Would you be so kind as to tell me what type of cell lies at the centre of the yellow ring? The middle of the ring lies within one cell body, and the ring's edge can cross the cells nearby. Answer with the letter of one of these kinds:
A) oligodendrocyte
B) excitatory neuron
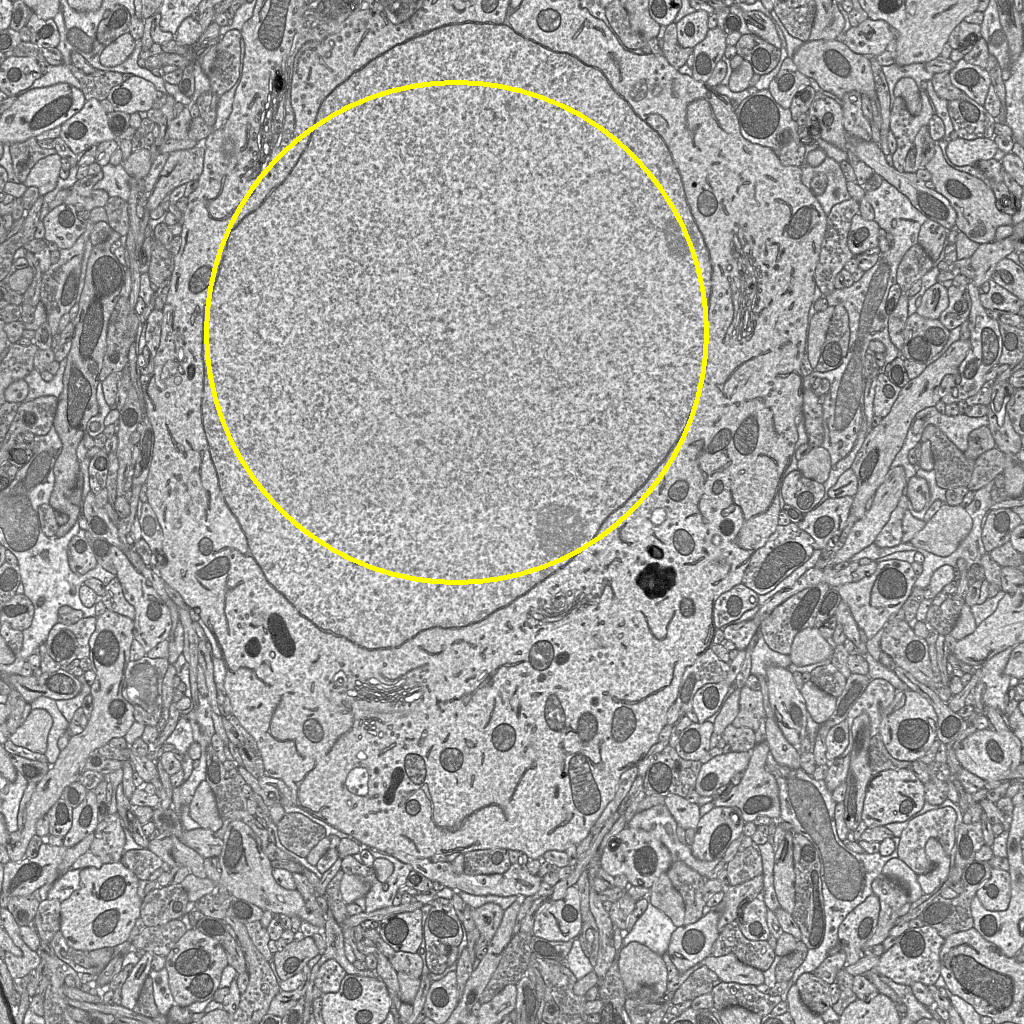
B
